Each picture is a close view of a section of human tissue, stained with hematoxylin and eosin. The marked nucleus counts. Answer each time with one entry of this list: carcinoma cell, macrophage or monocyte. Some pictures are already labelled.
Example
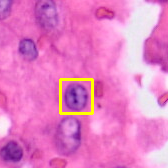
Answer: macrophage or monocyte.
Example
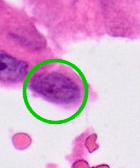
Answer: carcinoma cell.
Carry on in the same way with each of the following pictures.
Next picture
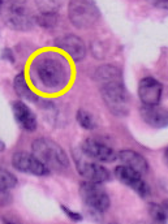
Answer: carcinoma cell.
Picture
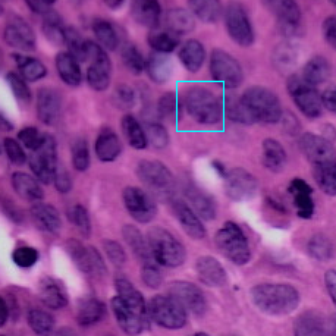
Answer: carcinoma cell.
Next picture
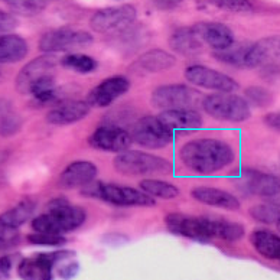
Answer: carcinoma cell.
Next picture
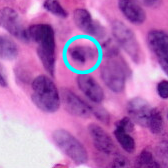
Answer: macrophage or monocyte.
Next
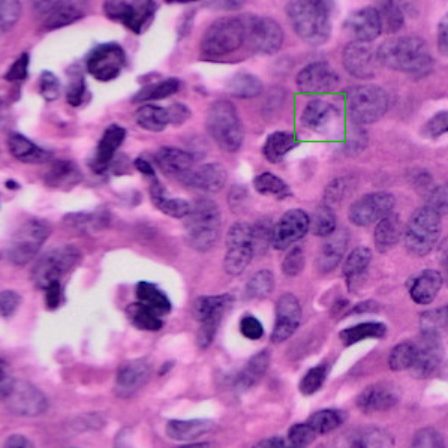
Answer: macrophage or monocyte.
